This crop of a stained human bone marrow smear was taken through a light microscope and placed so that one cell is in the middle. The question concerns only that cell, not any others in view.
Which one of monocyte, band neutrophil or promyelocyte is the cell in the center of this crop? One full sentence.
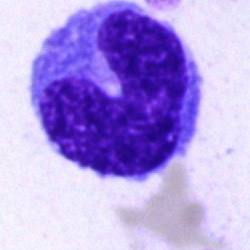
The central cell, amid any neighbouring cells, is a monocyte.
